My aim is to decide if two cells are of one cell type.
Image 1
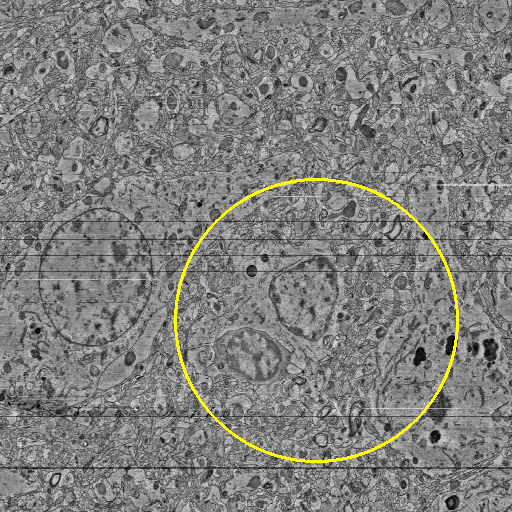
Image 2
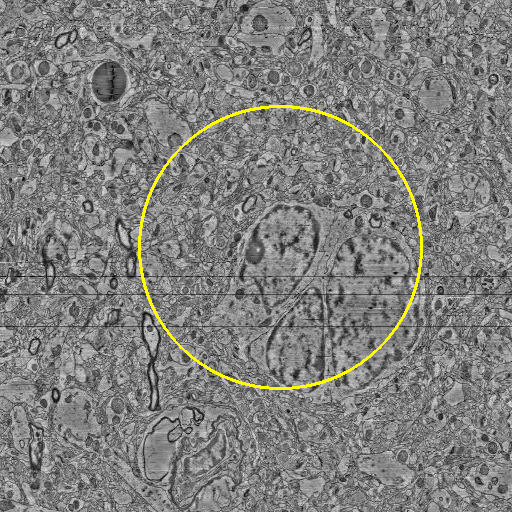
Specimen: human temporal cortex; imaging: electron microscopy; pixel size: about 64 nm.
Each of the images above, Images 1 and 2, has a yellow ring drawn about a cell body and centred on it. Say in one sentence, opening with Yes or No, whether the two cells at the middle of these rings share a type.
Yes, in Images 1 and 2 the cells at the middle of the rings share one type.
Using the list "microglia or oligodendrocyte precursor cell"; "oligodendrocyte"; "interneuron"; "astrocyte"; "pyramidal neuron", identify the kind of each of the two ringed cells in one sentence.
Each of the two rings is centred on a microglial cell or oligodendrocyte precursor cell.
